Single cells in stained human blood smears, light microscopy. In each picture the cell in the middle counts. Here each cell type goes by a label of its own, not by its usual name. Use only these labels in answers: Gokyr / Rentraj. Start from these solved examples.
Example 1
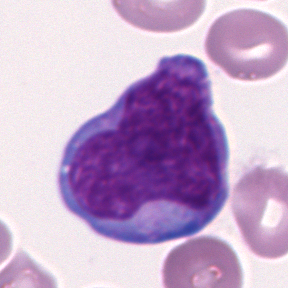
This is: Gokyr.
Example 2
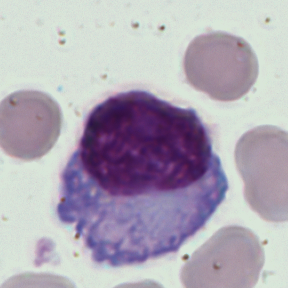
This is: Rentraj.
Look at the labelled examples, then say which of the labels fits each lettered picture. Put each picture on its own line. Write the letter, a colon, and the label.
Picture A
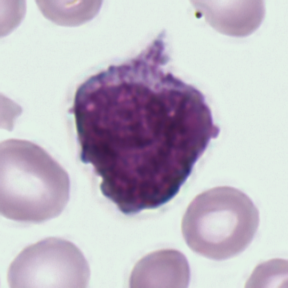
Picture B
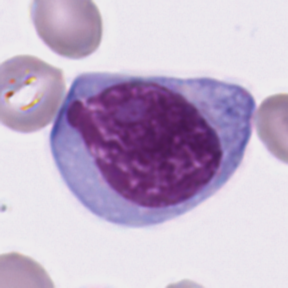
A: Gokyr.
B: Rentraj.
